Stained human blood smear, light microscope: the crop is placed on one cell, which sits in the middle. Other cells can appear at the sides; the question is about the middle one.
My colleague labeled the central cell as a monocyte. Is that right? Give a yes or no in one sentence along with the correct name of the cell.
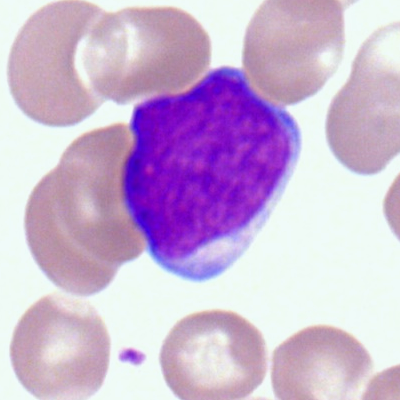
No, the central cell is designated a blast and not a monocyte.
